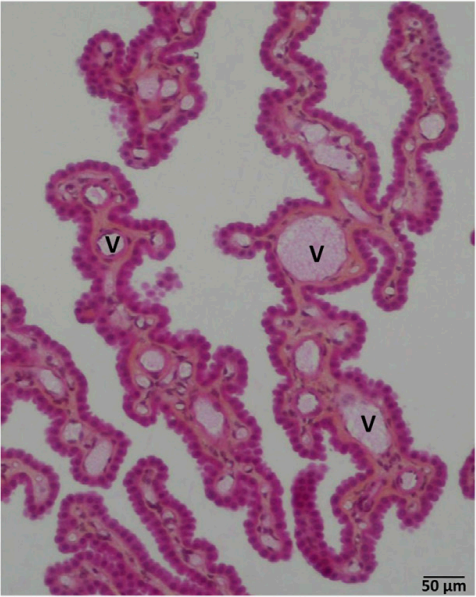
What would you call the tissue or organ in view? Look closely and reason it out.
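Folded fronds covered by a single layer of cuboidal epithelial cells. Each frond has a loose connective-tissue core holding wide thin-walled vessels. The fronds float free in an empty space.
Answer: choroid plexuses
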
